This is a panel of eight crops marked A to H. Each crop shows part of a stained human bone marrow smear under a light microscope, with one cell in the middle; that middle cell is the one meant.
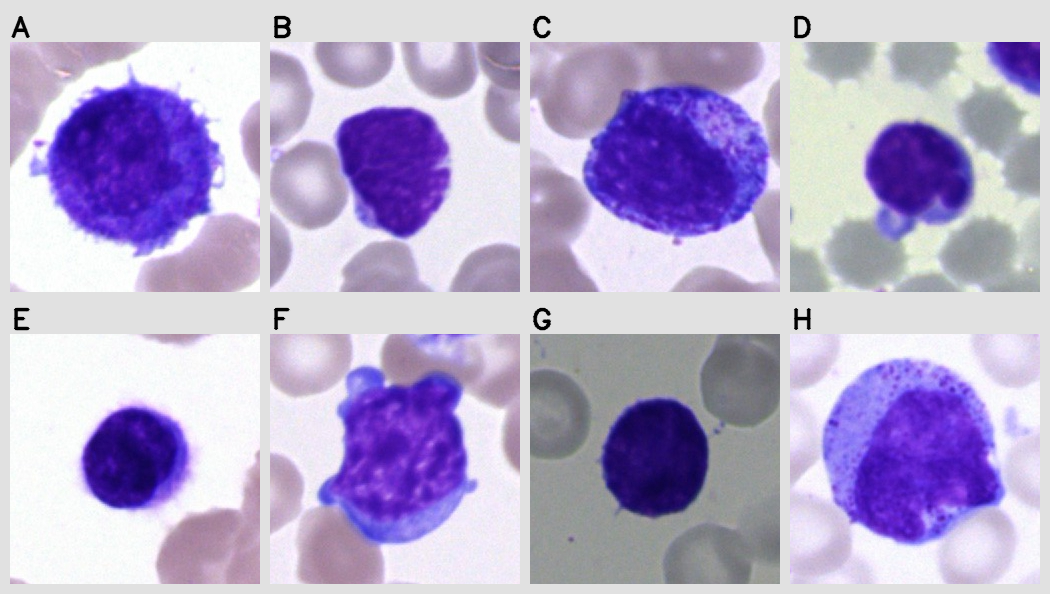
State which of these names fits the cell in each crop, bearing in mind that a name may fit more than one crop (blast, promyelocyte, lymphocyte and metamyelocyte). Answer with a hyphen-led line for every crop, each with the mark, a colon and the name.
- A: promyelocyte
- B: lymphocyte
- C: promyelocyte
- D: lymphocyte
- E: lymphocyte
- F: blast
- G: lymphocyte
- H: promyelocyte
